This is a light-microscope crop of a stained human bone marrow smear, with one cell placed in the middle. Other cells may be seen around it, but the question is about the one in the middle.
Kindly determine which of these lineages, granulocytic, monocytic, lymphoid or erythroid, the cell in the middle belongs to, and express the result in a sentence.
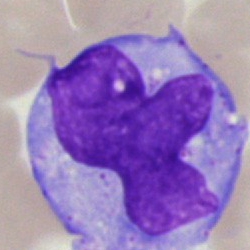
Lineage designation for the cell in the middle reads monocytic.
